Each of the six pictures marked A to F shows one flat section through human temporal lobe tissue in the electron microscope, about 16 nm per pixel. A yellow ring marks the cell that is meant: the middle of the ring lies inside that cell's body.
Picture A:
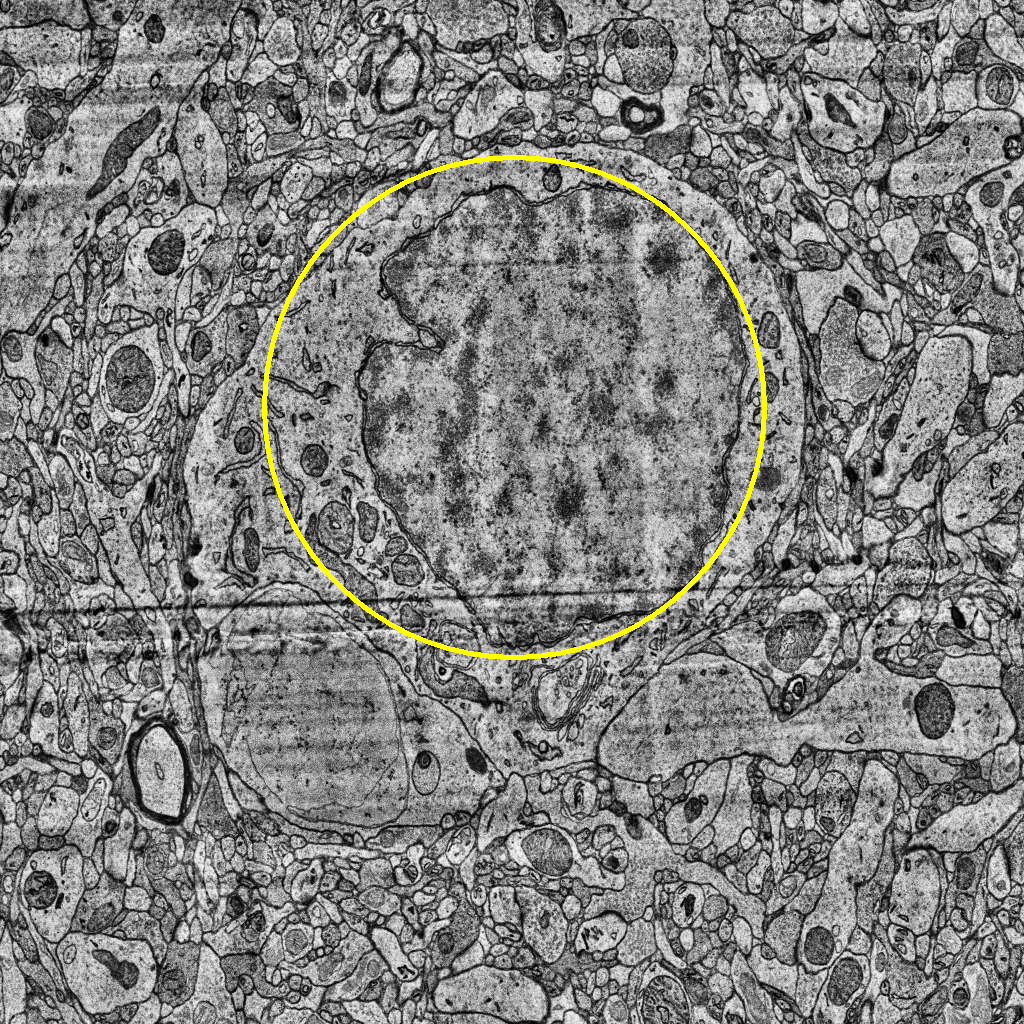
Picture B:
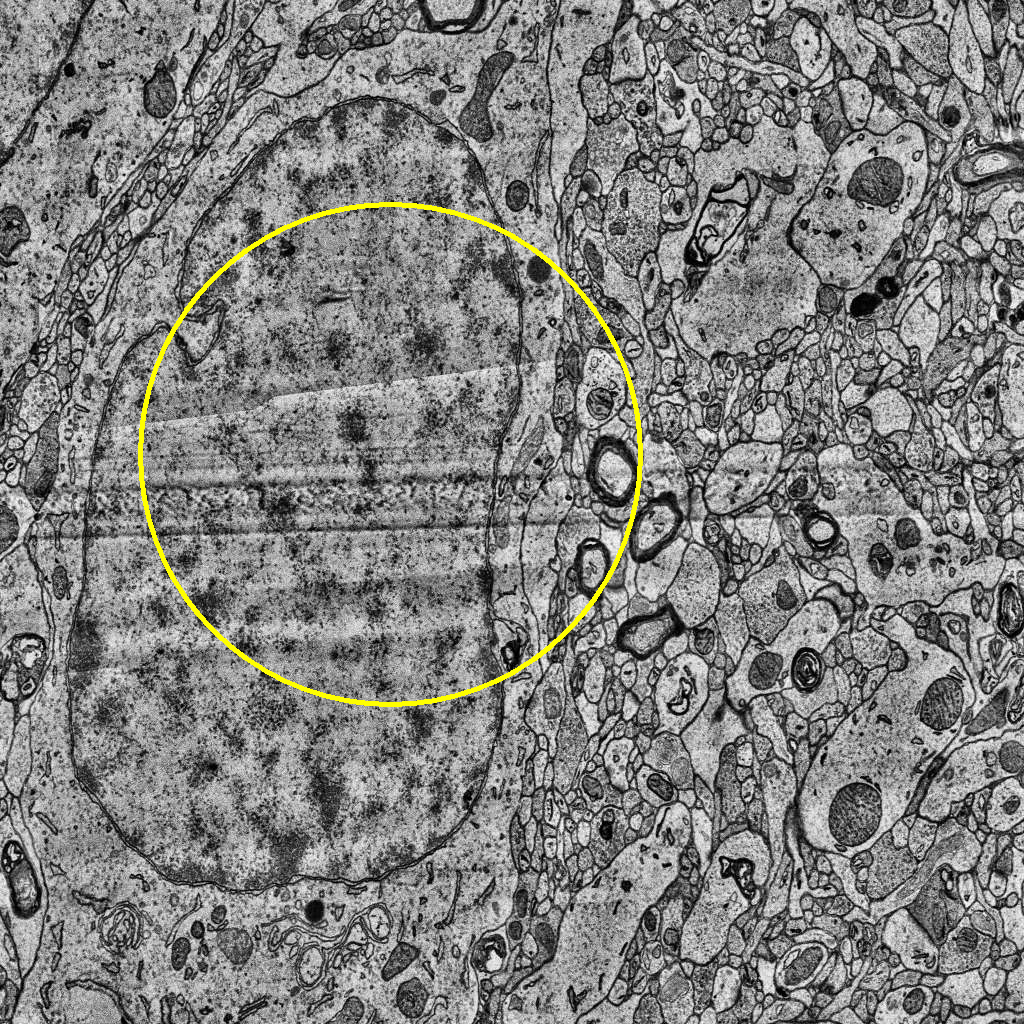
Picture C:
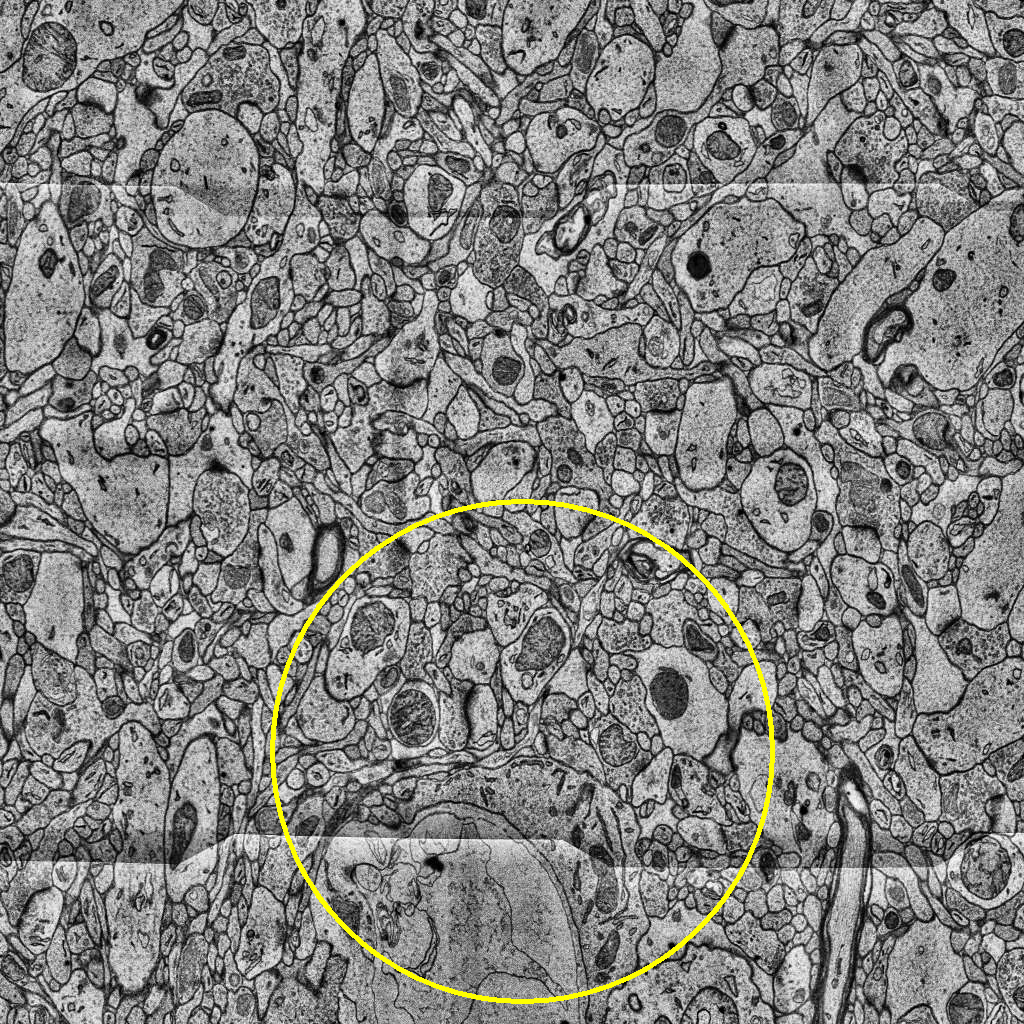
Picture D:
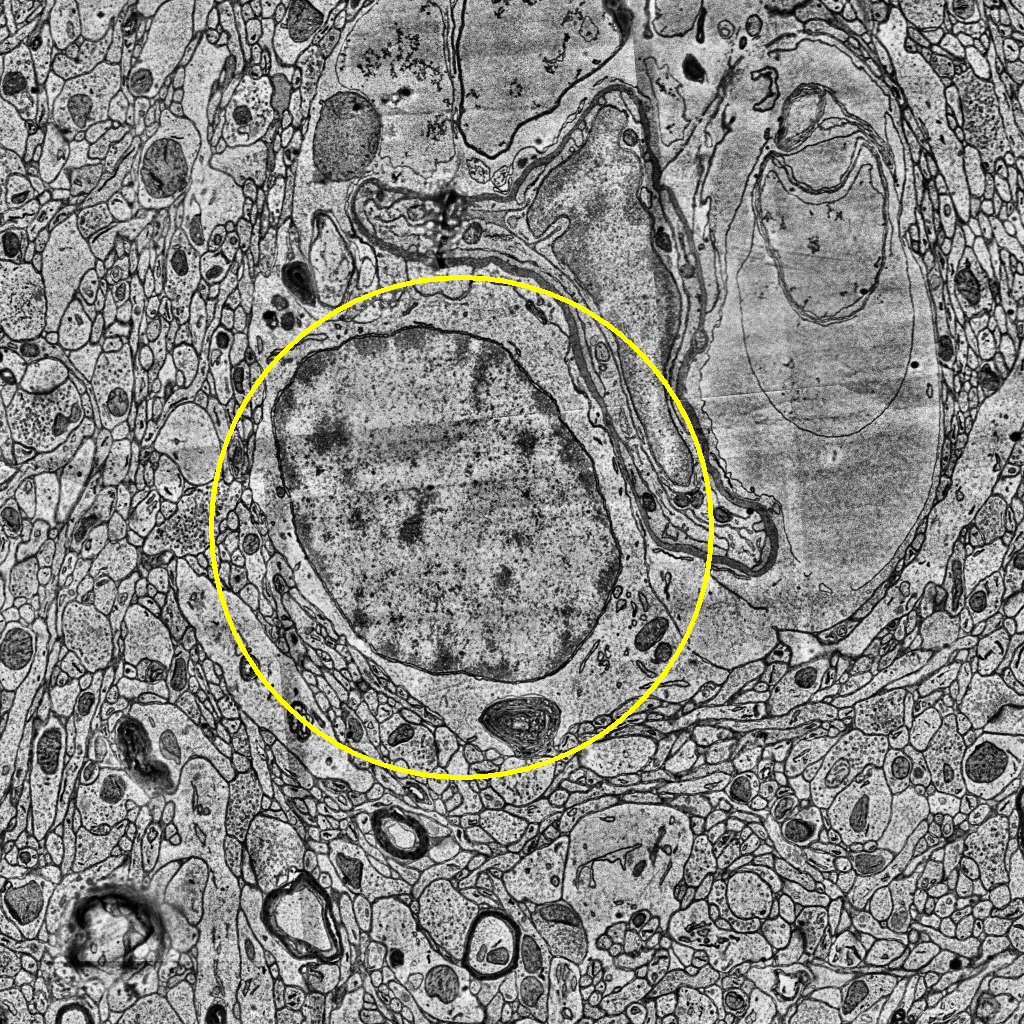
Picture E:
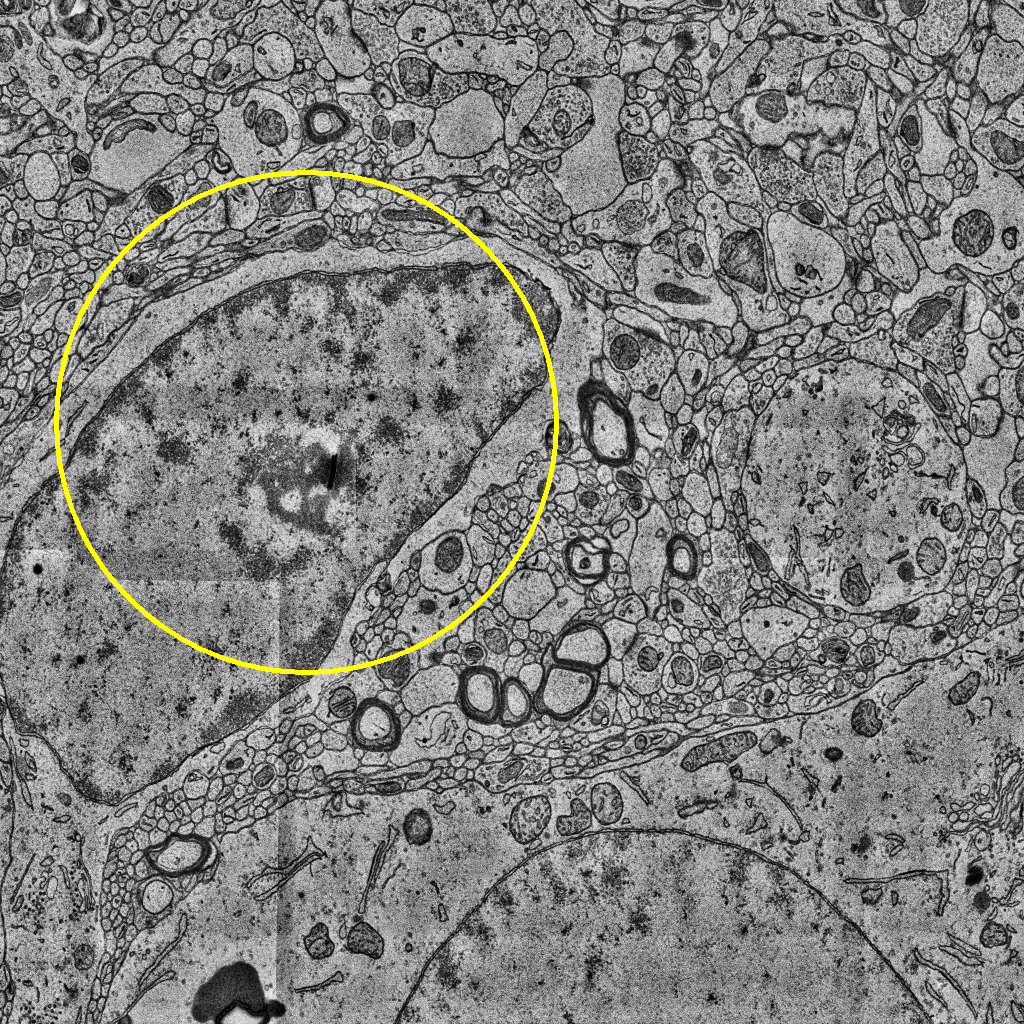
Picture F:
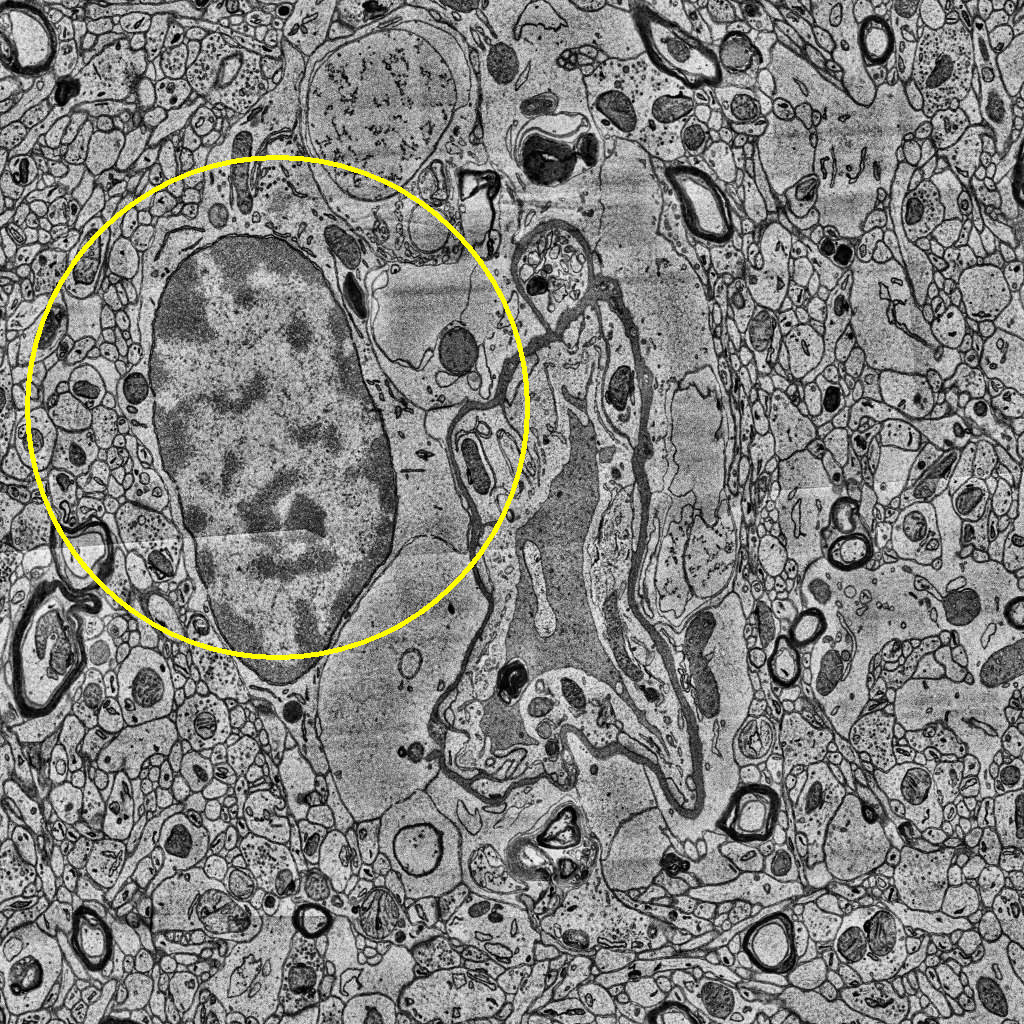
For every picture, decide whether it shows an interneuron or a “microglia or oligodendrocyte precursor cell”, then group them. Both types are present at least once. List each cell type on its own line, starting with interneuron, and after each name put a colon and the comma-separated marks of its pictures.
interneuron: A, B
microglia or oligodendrocyte precursor cell: C, D, E, F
